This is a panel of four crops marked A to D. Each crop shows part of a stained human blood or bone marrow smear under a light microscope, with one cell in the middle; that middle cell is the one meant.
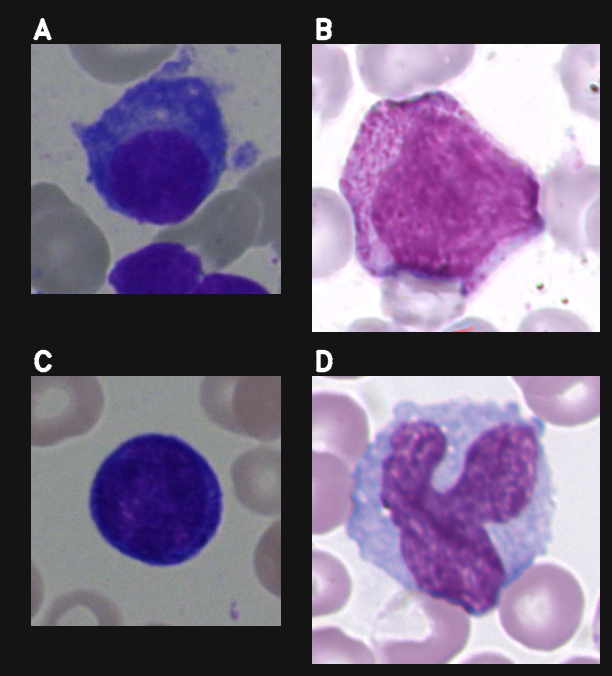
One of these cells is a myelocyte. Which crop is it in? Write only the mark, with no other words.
B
